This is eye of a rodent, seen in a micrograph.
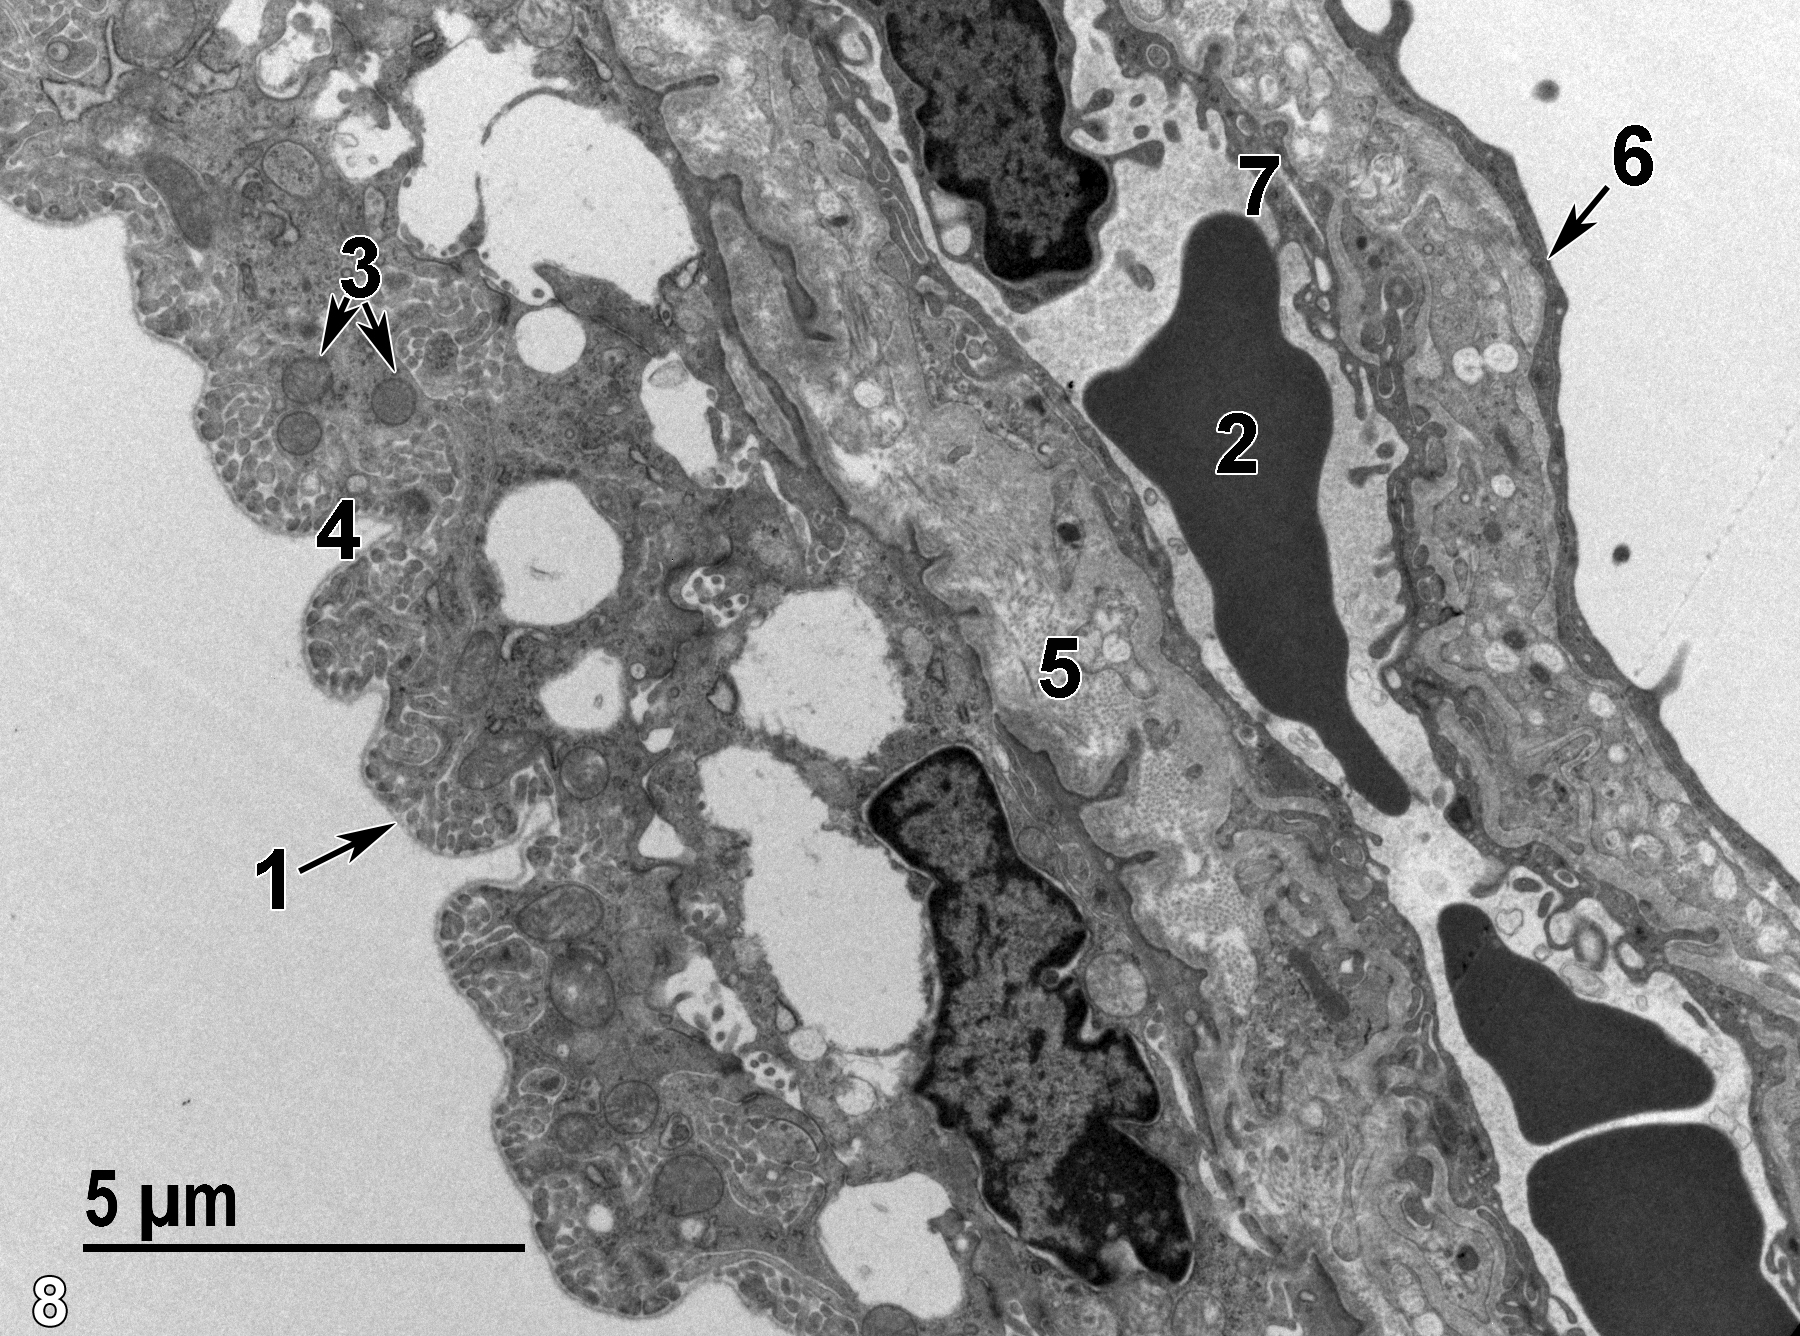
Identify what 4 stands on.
Infolded surfaces.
